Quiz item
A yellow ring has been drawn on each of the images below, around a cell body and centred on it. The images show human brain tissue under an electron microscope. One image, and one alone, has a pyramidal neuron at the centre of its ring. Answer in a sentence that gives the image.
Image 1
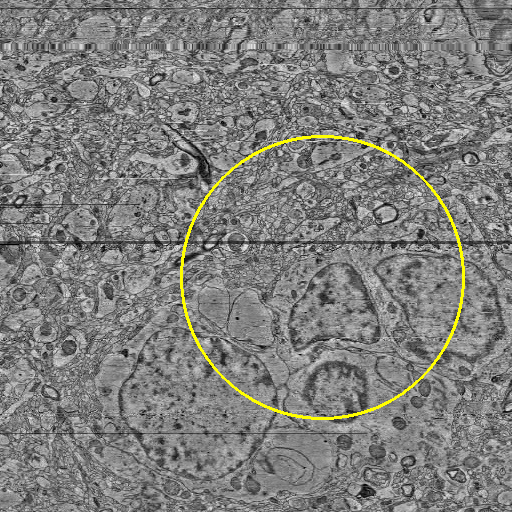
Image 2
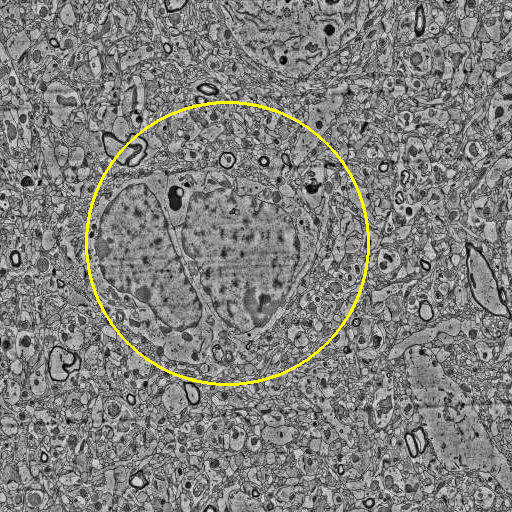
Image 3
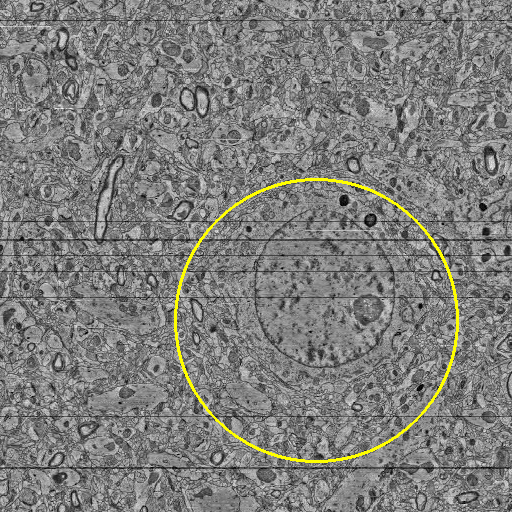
Image 3 shows it at the centre of the ring.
